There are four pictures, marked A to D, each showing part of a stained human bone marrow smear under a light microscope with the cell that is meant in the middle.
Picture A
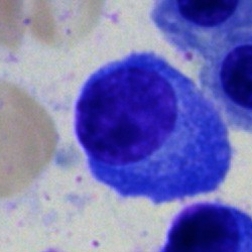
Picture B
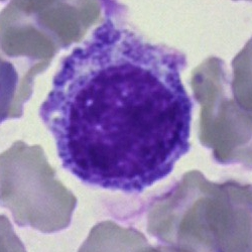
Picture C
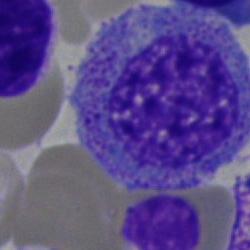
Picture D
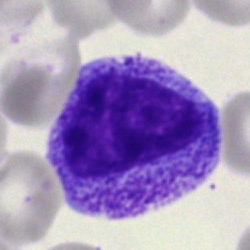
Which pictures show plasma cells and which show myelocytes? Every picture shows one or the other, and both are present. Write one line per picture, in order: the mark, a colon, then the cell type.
A: plasma cell
B: myelocyte
C: myelocyte
D: myelocyte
